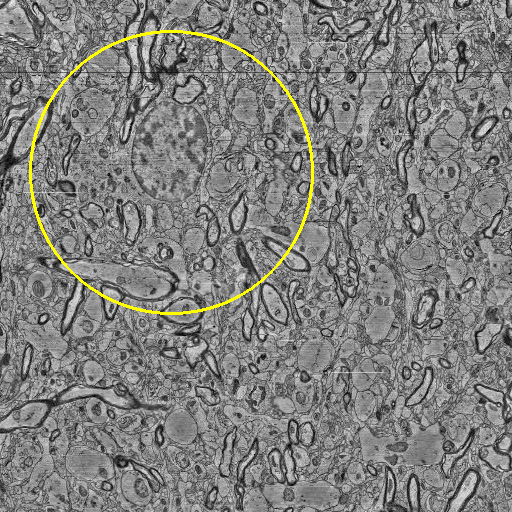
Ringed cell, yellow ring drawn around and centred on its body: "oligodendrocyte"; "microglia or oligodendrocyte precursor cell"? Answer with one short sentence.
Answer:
This ringed cell is an oligodendrocyte.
